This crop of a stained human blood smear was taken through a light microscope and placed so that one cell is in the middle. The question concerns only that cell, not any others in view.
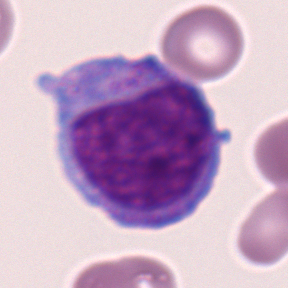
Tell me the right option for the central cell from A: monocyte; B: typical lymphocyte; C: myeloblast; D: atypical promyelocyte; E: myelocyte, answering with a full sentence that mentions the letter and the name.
Correctly, option D names the cell in the middle an atypical promyelocyte.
